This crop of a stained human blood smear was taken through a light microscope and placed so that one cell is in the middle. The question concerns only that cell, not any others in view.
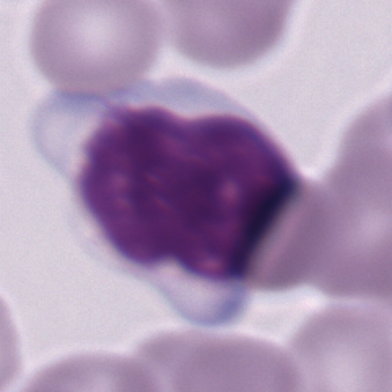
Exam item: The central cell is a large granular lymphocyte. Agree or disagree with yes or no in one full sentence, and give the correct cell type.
Yes, this is a large granular lymphocyte, the cell in the middle of the crop.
